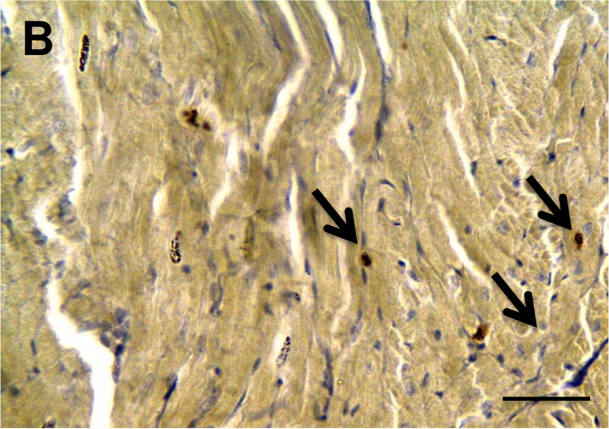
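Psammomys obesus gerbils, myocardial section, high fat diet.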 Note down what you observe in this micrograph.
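The muscle fibres run in long, slightly wavy parallel bands and are stained pale tan. Elongated nuclei, stained pale blue, are scattered within and between the fibres. A few small, round cells are stained dark brown and sit in the spaces between the fibres. Some small granular dark deposits are also seen elsewhere in the section.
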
